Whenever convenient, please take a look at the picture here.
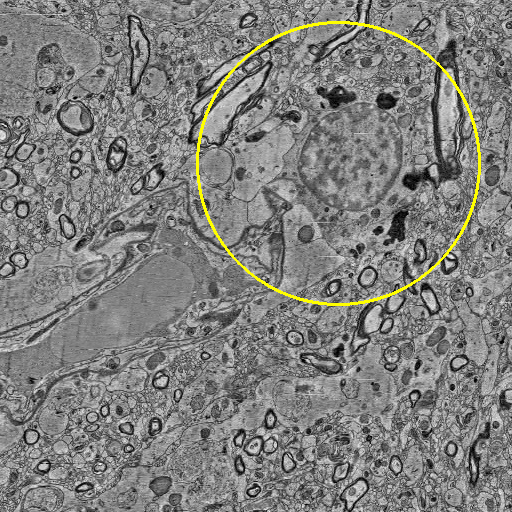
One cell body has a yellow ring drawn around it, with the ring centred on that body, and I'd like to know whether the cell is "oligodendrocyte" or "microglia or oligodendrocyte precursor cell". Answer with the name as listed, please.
oligodendrocyte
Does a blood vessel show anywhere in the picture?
Yes, a blood vessel can be seen.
